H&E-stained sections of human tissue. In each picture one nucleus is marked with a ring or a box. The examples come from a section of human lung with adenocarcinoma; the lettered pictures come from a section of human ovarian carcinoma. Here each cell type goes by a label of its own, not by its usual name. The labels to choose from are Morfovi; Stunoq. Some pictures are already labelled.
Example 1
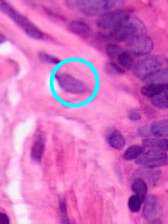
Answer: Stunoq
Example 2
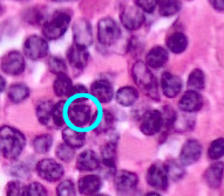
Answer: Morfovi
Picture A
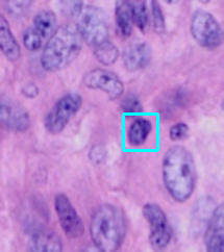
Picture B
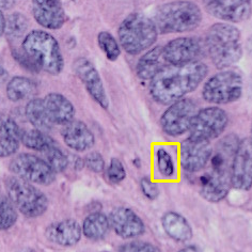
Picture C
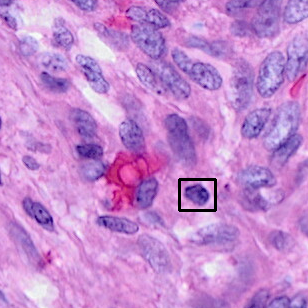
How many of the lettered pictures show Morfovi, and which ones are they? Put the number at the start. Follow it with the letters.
3, namely A, B, C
